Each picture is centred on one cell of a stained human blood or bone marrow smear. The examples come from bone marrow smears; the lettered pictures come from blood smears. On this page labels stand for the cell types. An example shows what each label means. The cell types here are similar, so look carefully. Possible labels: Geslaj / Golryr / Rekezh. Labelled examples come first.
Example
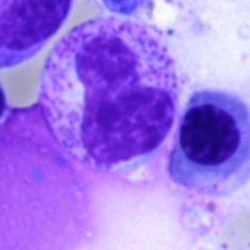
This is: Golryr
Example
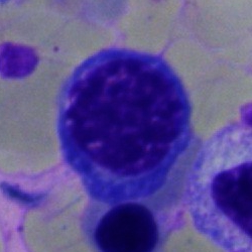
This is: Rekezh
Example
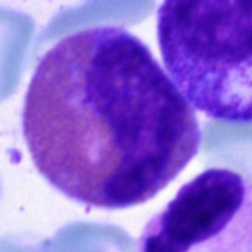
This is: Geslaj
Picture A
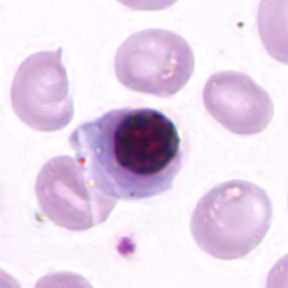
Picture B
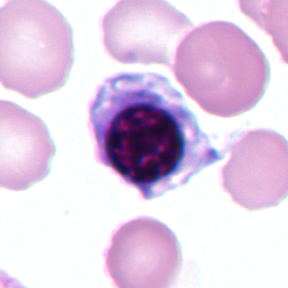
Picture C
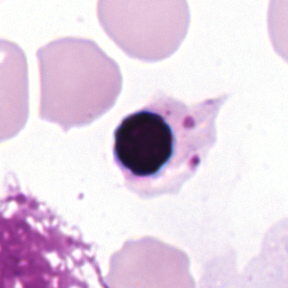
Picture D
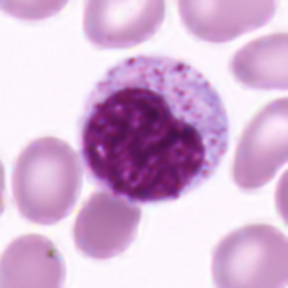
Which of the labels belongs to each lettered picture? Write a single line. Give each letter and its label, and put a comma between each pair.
A Rekezh, B Rekezh, C Rekezh, D Golryr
